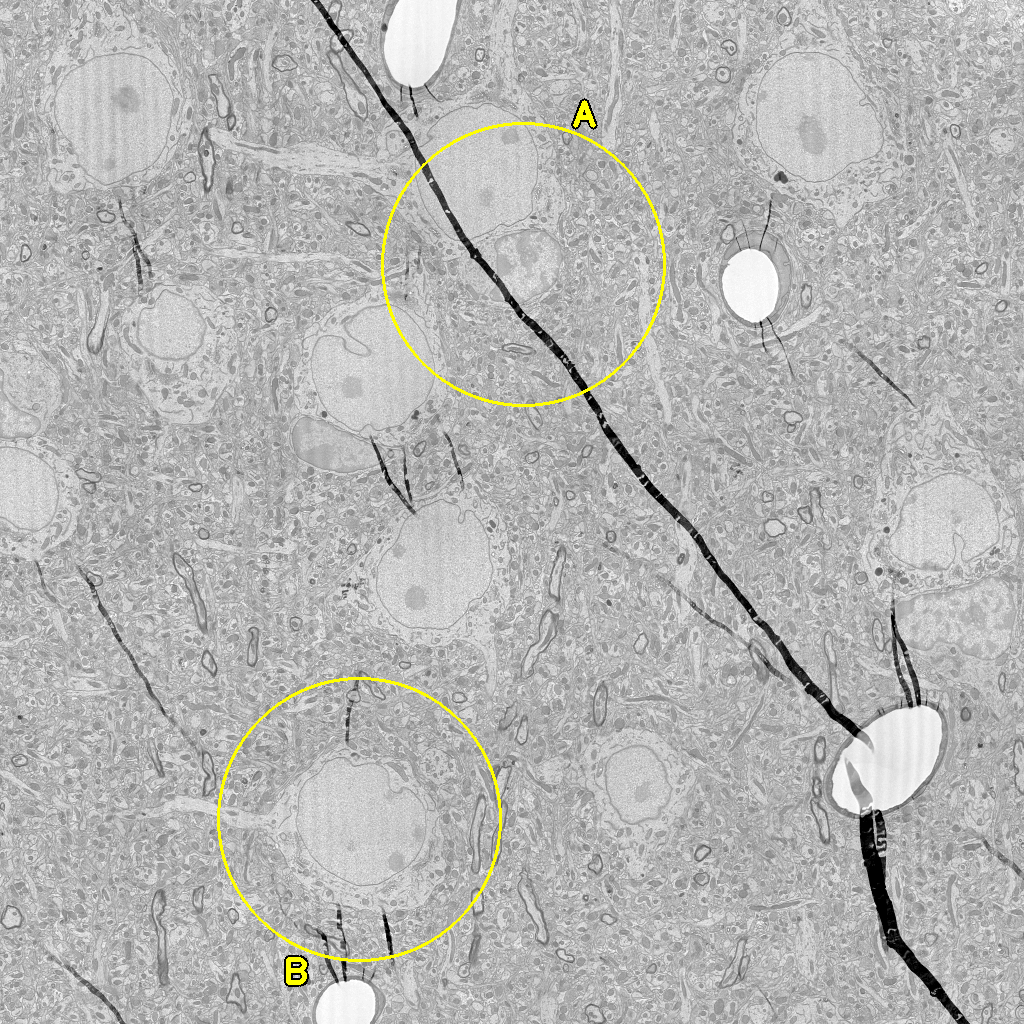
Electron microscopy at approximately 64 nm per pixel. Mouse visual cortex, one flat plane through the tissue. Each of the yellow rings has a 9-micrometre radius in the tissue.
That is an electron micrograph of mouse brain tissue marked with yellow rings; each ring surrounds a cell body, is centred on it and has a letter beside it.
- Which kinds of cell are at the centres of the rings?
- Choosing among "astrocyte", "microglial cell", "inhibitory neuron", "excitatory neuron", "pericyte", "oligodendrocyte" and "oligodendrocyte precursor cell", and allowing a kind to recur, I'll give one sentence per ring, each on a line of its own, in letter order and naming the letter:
Ring A sits around an oligodendrocyte.
Ring B sits around an excitatory neuron.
